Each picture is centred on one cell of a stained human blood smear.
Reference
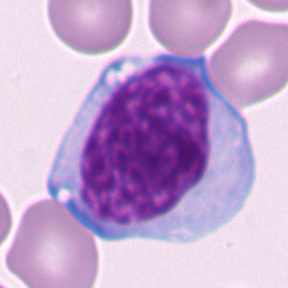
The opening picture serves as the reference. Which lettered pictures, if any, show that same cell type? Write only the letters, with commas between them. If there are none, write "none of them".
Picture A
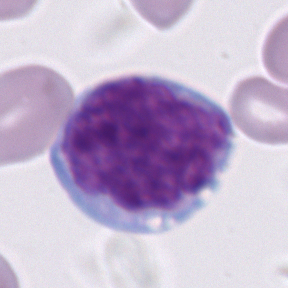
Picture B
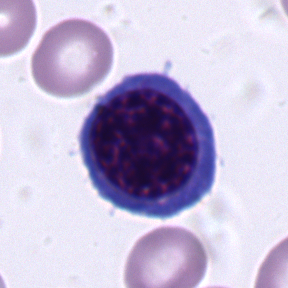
A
